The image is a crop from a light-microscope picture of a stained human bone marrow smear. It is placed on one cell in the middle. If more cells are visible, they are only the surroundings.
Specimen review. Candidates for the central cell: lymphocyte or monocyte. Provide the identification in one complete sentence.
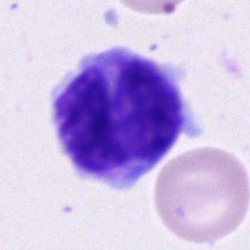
The middle cell in this particular crop is a monocyte.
